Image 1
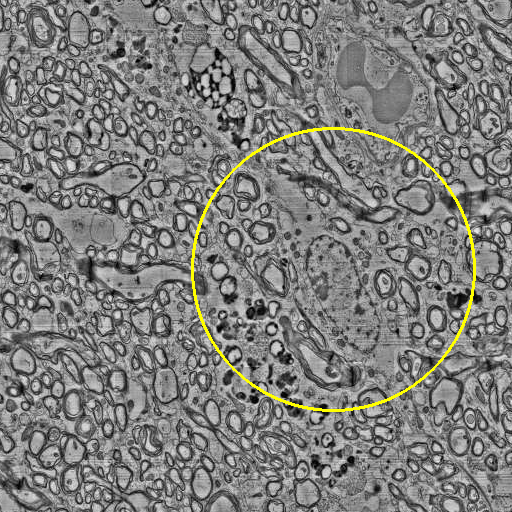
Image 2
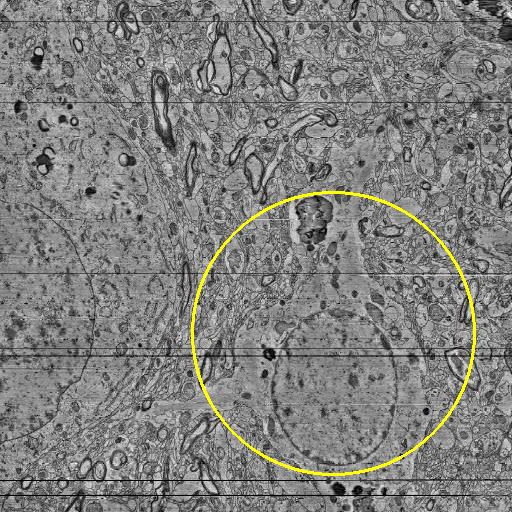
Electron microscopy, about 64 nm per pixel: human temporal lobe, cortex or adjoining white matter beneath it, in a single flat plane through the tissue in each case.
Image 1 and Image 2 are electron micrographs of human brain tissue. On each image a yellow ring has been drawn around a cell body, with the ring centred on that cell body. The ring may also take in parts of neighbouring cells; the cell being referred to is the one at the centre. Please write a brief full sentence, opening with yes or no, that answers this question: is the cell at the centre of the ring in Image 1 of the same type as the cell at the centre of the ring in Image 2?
Yes, both cells are of the same type.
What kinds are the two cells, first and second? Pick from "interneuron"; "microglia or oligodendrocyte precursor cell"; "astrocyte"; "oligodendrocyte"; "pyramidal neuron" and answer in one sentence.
Each cell at the centre of a ring is an astrocyte.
